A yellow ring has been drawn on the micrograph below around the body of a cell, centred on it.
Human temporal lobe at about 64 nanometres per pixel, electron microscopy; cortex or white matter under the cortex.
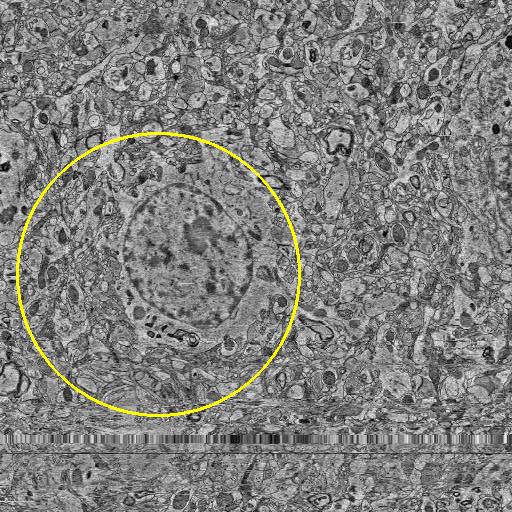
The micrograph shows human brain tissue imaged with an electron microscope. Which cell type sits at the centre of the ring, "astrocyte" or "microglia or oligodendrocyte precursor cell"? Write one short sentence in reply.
The cell sitting at the centre of the ring is an astrocyte.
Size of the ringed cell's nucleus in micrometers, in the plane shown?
About 10 by 8 micrometers for the nucleus, in this plane.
